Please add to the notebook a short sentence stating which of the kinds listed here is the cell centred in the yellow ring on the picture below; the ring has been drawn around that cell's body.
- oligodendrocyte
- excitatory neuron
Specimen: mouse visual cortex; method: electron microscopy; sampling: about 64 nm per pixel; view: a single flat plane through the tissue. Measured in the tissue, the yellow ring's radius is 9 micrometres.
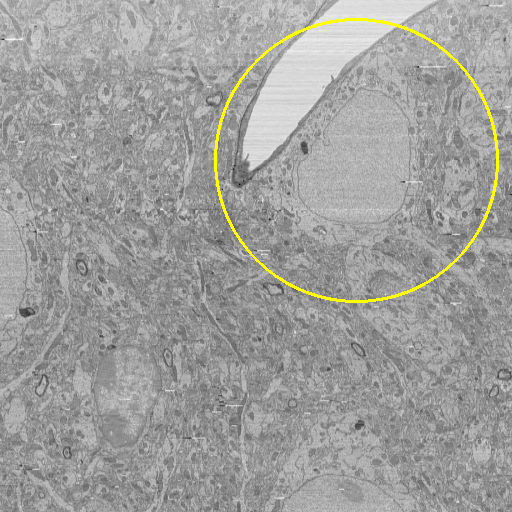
The cell centred in the yellow ring is an excitatory neuron.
